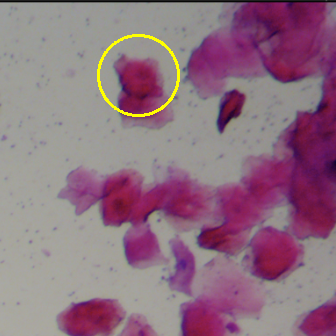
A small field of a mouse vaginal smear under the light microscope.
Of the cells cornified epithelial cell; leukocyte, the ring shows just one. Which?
The ring shows a cornified epithelial cell.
